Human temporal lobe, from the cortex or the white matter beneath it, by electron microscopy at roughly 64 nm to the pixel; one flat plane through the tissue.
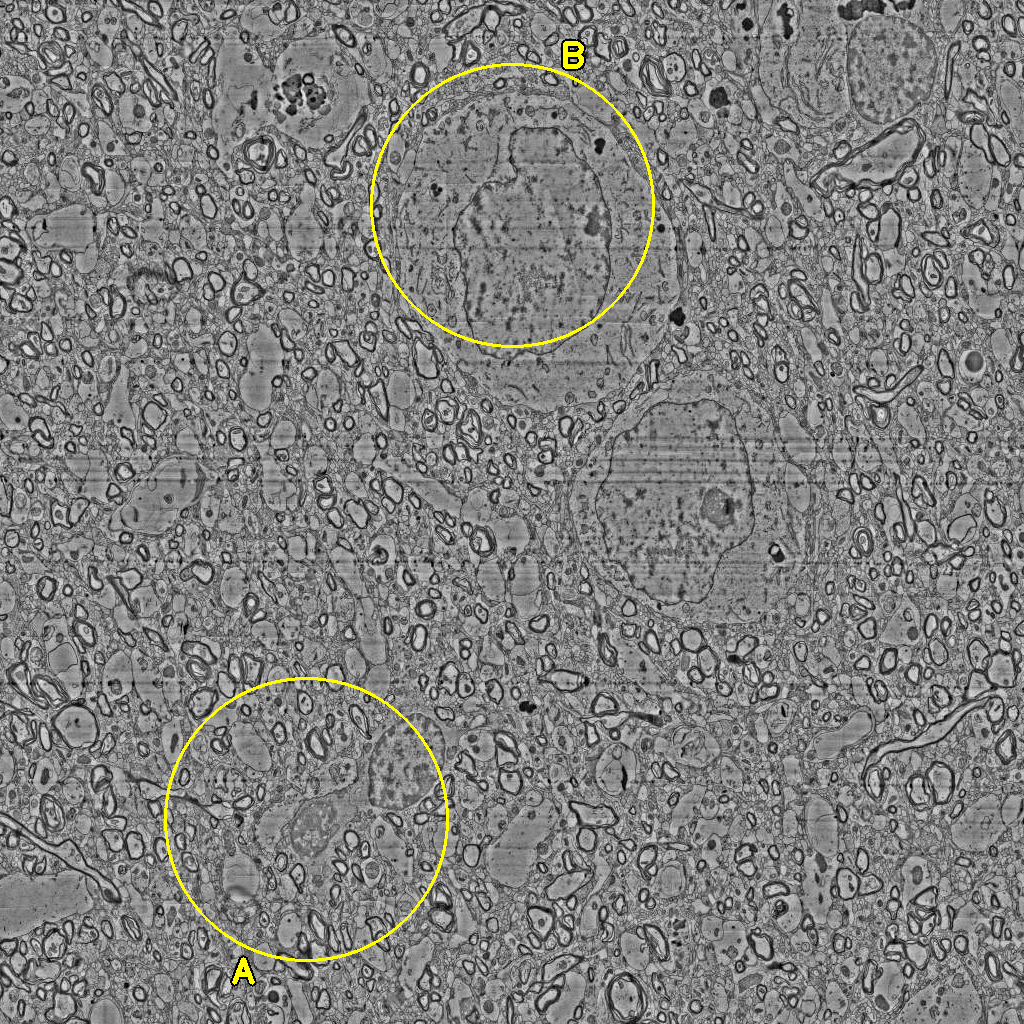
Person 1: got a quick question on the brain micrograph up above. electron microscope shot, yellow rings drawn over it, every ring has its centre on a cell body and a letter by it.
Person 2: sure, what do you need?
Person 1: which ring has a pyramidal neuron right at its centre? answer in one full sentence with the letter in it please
In that picture, ring B is centred on the cell asked for.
